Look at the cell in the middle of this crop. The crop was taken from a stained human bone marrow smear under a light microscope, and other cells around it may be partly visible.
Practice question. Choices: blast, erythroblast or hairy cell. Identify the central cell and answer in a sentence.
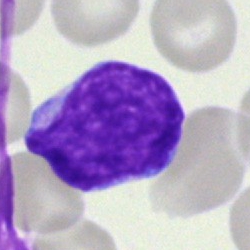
The cell in the middle of this crop is a blast.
